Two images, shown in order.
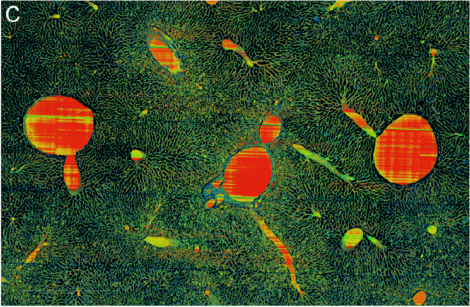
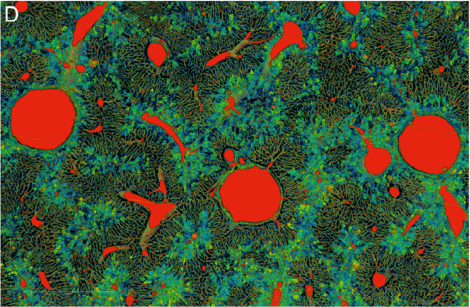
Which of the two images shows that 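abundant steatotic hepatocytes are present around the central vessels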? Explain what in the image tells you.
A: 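Second image: dense blue-green speckled clusters form bands around large vessels. First image: the fine network is even, without blue-green speckled clusters. The answer: the second image.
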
